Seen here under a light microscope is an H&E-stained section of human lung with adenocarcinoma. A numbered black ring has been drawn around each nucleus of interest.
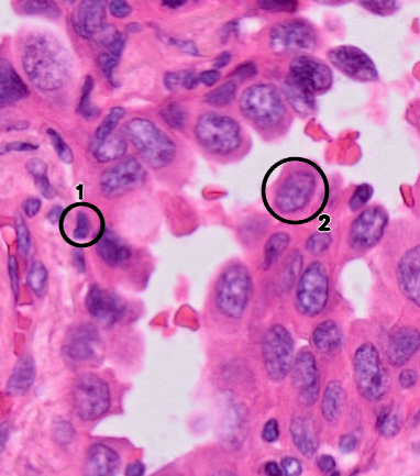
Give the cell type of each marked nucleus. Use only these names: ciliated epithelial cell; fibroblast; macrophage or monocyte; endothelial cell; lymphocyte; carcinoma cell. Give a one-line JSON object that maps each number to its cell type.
{"1": "lymphocyte", "2": "carcinoma cell"}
